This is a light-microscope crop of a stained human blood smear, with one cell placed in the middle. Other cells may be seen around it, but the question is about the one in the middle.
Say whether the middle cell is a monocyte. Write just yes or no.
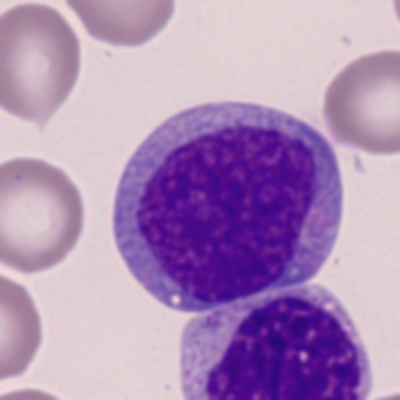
no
